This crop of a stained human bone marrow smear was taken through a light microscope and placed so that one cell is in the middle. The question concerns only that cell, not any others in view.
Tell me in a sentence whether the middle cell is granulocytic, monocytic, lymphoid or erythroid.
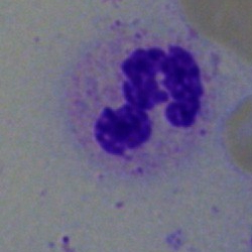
The central cell of this crop is a member of the granulocytic line of development.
